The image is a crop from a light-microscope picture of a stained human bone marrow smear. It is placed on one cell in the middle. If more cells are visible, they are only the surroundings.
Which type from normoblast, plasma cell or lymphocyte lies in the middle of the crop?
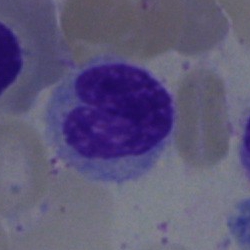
lymphocyte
